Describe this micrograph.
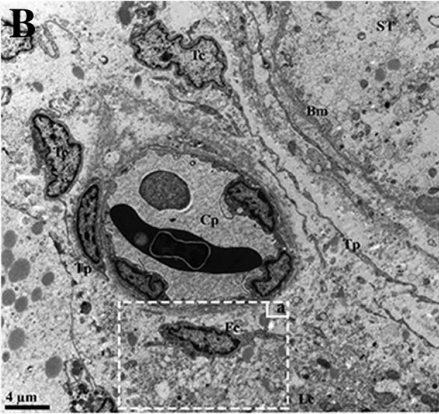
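This electron micrograph shows the interstitium of the testis, with a capillary, telocytes, a fibroblast and Leydig cell cytoplasm. At the centre lies a capillary cut in cross section, its lumen holding a red blood cell and a curved, very dark cell, and its wall lined by flattened endothelial nuclei. Telocytes have small, elongated, dense nuclei and send very long, thin processes that run parallel to the wall of the neighbouring tubule. A fibroblast with a flattened, dark nucleus lies below the capillary, near the granular cytoplasm of a Leydig cell.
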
